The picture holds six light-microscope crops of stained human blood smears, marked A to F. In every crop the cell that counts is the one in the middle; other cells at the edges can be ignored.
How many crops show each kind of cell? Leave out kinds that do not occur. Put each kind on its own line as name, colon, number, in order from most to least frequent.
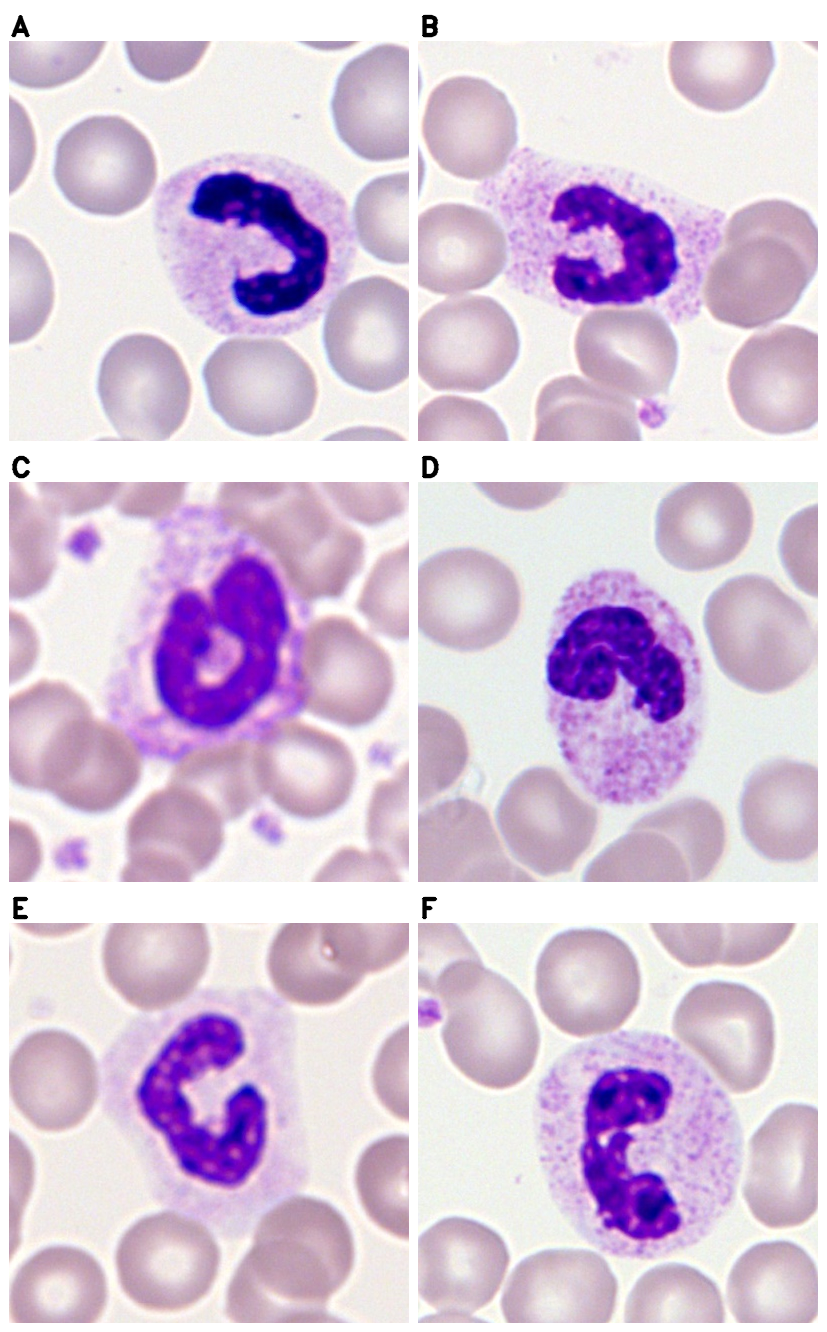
band neutrophil: 6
